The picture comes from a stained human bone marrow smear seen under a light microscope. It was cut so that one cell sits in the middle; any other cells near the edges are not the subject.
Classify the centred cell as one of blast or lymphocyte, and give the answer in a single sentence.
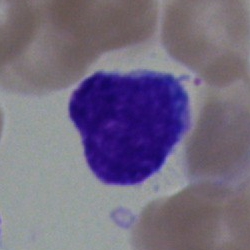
The cell the crop is centered on is a blast.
